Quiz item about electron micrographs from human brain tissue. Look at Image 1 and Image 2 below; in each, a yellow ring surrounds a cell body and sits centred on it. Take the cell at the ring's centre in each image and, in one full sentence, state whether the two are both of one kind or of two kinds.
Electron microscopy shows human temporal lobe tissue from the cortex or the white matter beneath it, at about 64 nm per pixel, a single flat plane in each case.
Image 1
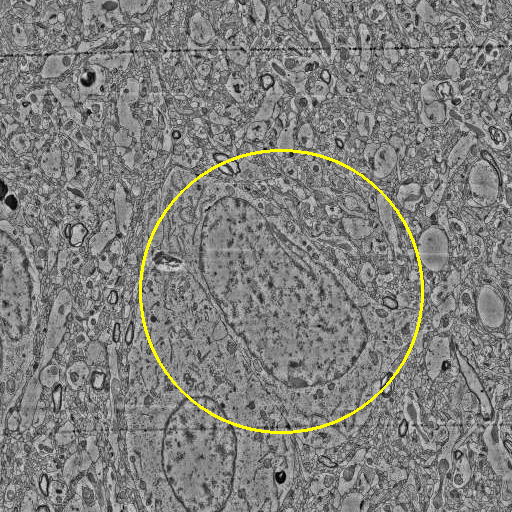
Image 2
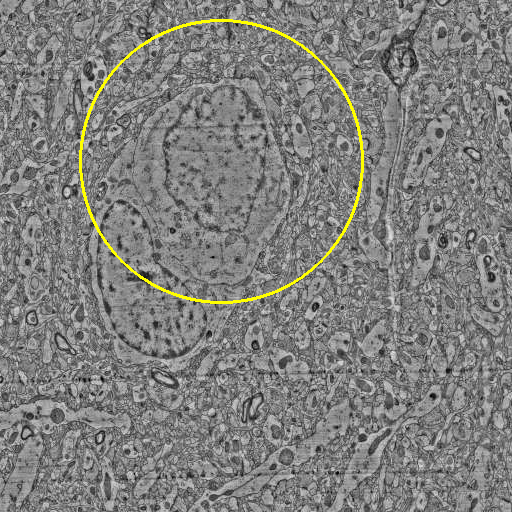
In Image 1 and Image 2, the cells at the ring centres are both of one kind.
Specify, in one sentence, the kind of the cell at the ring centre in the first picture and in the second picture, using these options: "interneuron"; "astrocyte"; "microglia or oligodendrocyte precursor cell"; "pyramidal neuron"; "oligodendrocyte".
In both pictures the ring is centred on an interneuron.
